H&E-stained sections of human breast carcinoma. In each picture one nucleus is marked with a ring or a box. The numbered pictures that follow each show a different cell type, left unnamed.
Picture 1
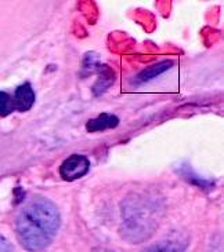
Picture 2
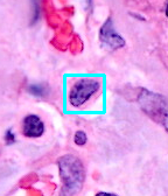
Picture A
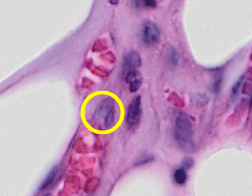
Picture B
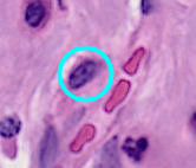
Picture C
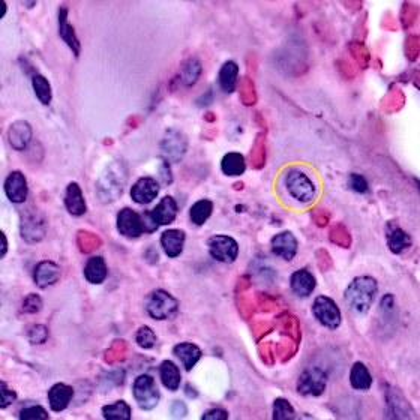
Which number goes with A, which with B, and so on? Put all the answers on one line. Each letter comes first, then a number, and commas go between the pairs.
A 1, B 2, C 2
